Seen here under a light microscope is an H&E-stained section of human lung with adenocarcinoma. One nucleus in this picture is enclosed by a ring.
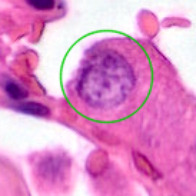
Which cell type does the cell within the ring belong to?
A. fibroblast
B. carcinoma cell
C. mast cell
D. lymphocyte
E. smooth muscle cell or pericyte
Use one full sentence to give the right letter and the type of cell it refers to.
Option B is right in classifying the cell within the ring as a carcinoma cell.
